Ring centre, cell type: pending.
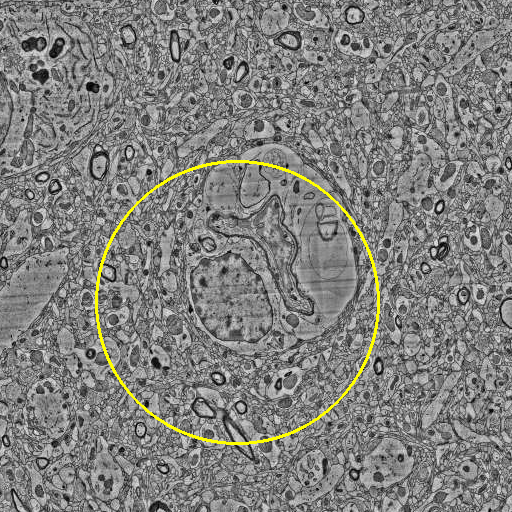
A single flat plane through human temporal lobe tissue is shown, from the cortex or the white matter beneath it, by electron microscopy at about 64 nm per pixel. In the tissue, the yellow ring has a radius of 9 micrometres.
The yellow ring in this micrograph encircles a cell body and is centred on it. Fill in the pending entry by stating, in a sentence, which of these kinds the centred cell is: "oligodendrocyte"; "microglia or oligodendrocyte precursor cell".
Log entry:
The centred cell is recorded as a microglial cell or oligodendrocyte precursor cell.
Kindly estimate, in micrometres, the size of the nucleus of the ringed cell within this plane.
Roughly 6 by 5 micrometres in this plane, for the nucleus of the ringed cell.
